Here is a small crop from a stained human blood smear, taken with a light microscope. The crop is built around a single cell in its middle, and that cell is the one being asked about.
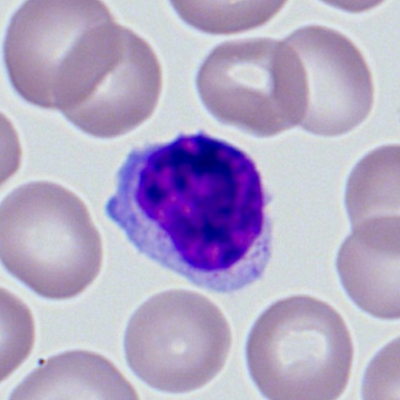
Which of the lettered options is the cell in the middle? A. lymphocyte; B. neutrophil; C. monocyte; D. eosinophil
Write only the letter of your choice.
A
